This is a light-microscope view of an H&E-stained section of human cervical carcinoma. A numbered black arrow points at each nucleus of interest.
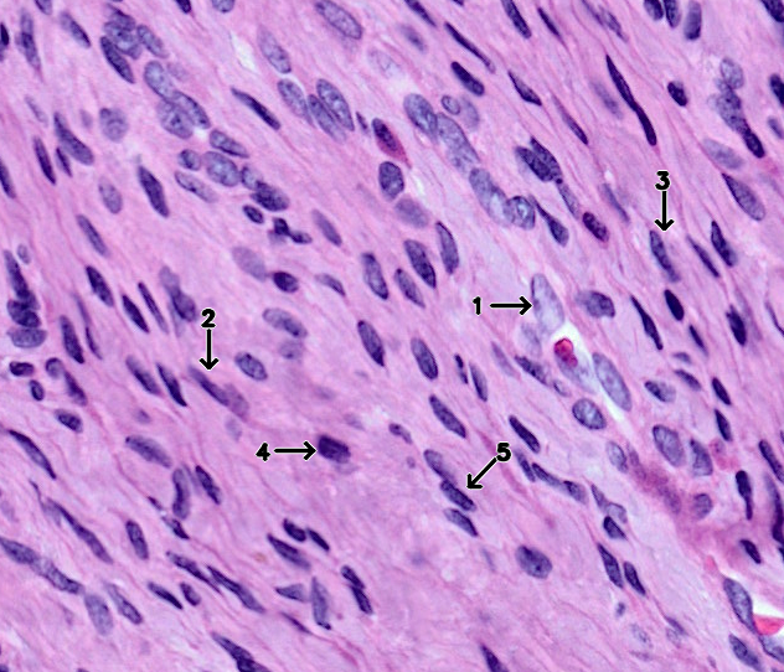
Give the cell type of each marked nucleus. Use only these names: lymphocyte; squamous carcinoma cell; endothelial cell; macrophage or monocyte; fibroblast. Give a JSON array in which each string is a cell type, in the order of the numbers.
["endothelial cell", "fibroblast", "fibroblast", "lymphocyte", "fibroblast"]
